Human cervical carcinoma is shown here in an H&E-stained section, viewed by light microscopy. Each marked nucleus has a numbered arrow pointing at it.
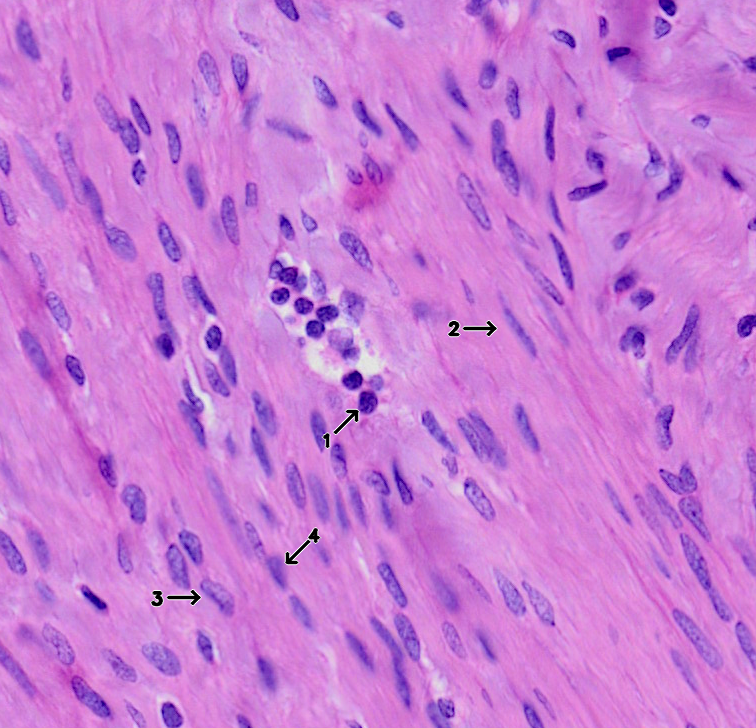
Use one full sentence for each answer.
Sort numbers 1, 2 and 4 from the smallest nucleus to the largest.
By area, going up from the smallest, they rank 1, 4, 2.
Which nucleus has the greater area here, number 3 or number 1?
Nucleus 3 is larger, with an area about 2 times that of nucleus 1.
